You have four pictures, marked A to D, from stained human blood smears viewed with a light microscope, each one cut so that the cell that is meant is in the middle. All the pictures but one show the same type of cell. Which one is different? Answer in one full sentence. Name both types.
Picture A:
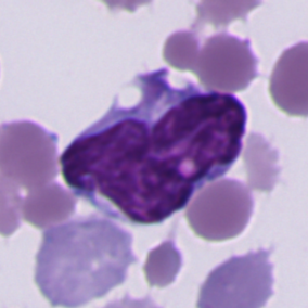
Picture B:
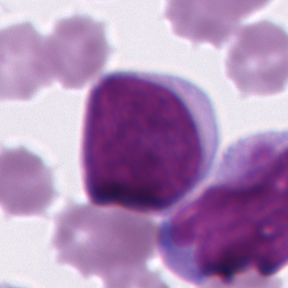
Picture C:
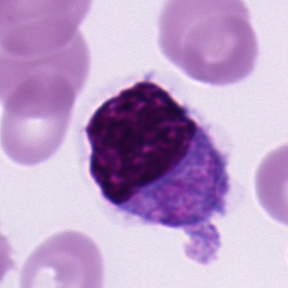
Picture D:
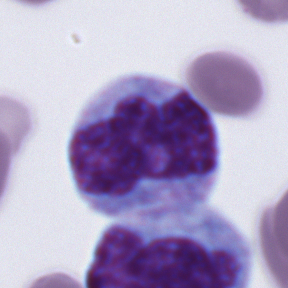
All pictures except B show monocytes; picture B shows a myeloblast.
